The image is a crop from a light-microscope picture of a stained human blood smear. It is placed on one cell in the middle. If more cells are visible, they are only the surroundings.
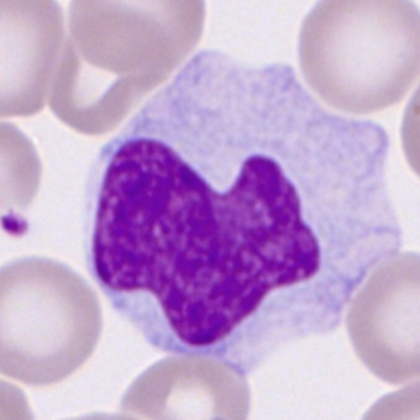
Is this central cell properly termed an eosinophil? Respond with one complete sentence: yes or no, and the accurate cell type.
No, the central cell is not an eosinophil, being instead a monocyte.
